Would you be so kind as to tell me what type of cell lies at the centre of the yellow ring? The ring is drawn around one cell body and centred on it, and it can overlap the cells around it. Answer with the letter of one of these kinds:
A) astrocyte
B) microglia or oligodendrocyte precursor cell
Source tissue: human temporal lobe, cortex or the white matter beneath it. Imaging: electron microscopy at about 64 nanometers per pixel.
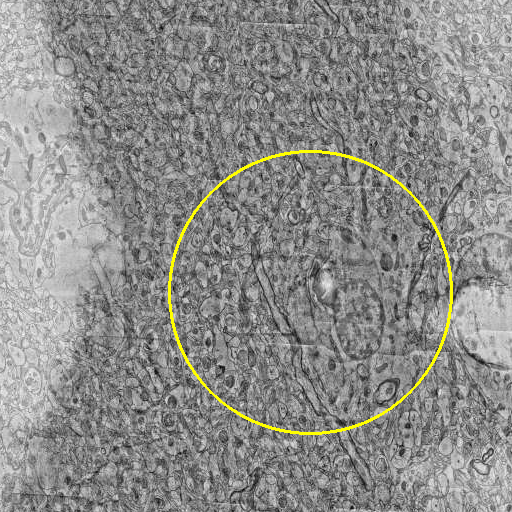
A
